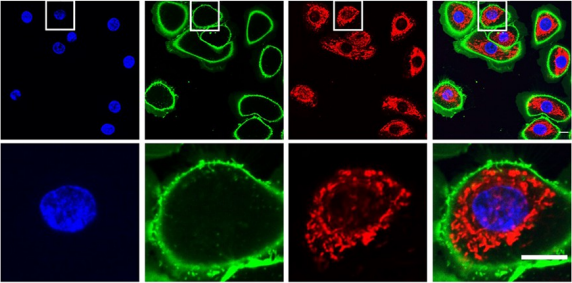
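Every cell holds a round blue nucleus placed near its centre. Red mitochondria gather in the cytoplasm around the nucleus, forming a ring or crescent of short, fragmented and branched elements rather than long parallel threads.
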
